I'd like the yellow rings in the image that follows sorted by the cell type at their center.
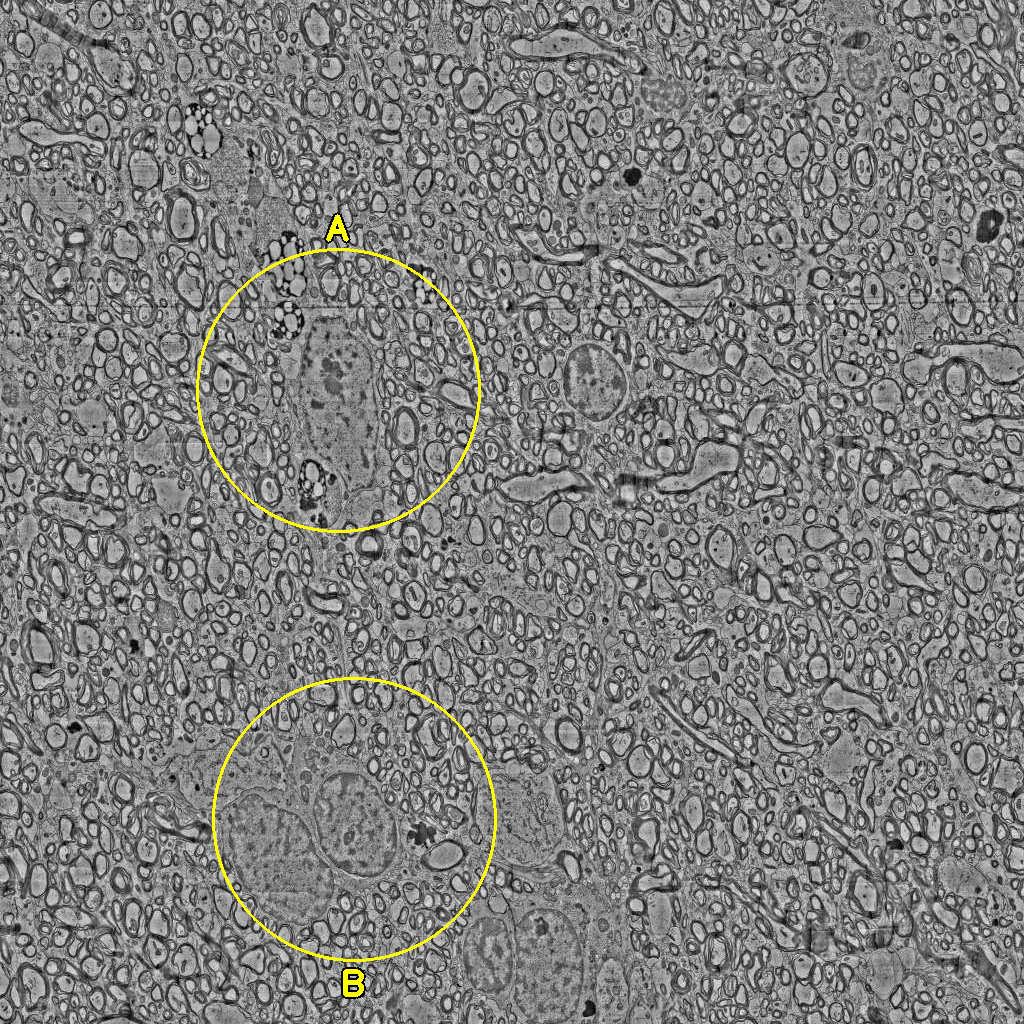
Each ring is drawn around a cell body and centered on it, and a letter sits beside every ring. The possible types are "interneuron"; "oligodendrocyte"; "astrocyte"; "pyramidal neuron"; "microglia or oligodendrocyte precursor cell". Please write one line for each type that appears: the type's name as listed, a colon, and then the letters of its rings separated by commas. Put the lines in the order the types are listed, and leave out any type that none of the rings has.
oligodendrocyte: B
astrocyte: A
